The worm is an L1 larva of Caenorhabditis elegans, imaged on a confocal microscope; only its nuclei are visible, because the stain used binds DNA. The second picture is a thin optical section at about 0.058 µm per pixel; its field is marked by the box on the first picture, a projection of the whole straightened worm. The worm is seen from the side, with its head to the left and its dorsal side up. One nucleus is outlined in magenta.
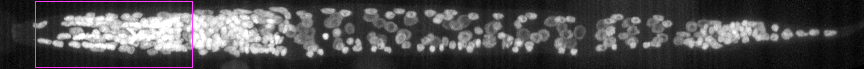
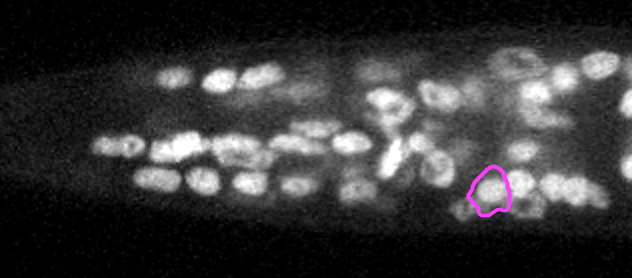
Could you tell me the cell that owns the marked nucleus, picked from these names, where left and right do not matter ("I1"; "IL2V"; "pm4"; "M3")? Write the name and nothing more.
IL2V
